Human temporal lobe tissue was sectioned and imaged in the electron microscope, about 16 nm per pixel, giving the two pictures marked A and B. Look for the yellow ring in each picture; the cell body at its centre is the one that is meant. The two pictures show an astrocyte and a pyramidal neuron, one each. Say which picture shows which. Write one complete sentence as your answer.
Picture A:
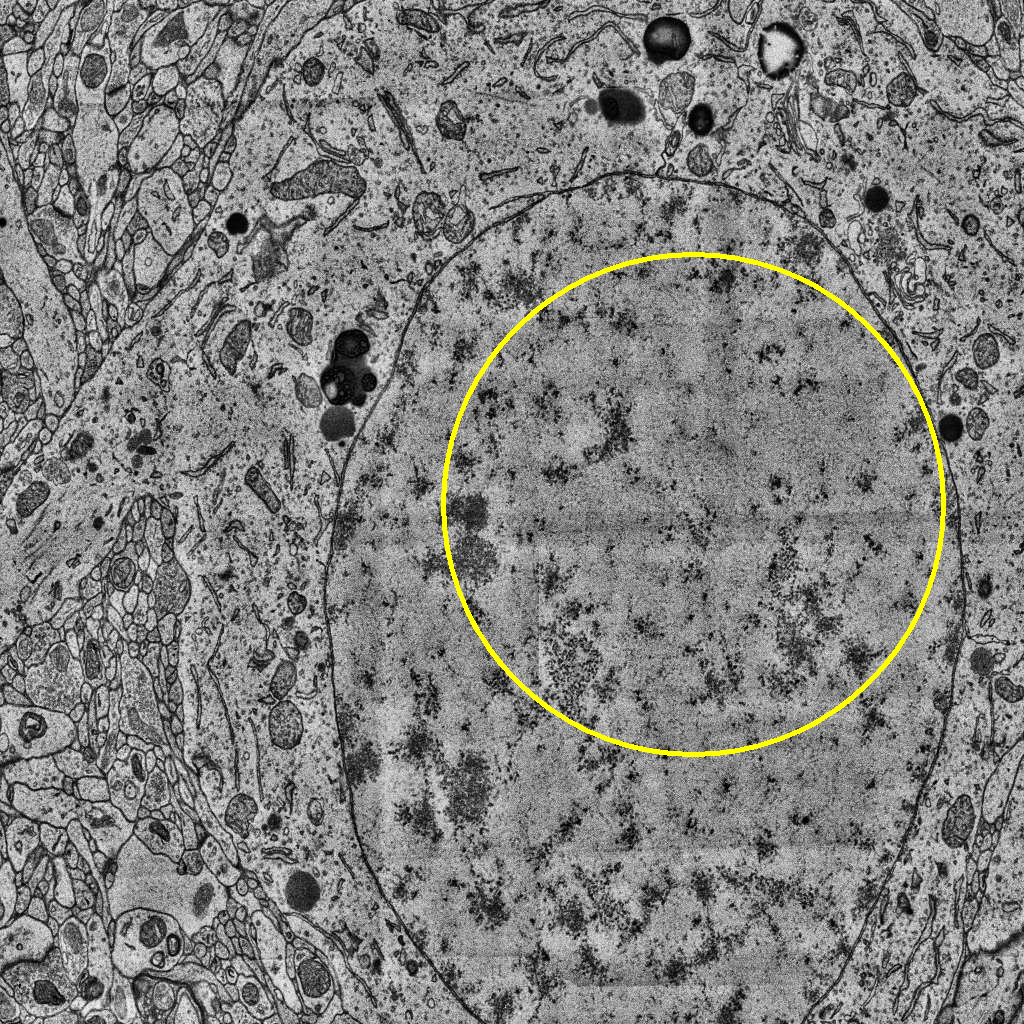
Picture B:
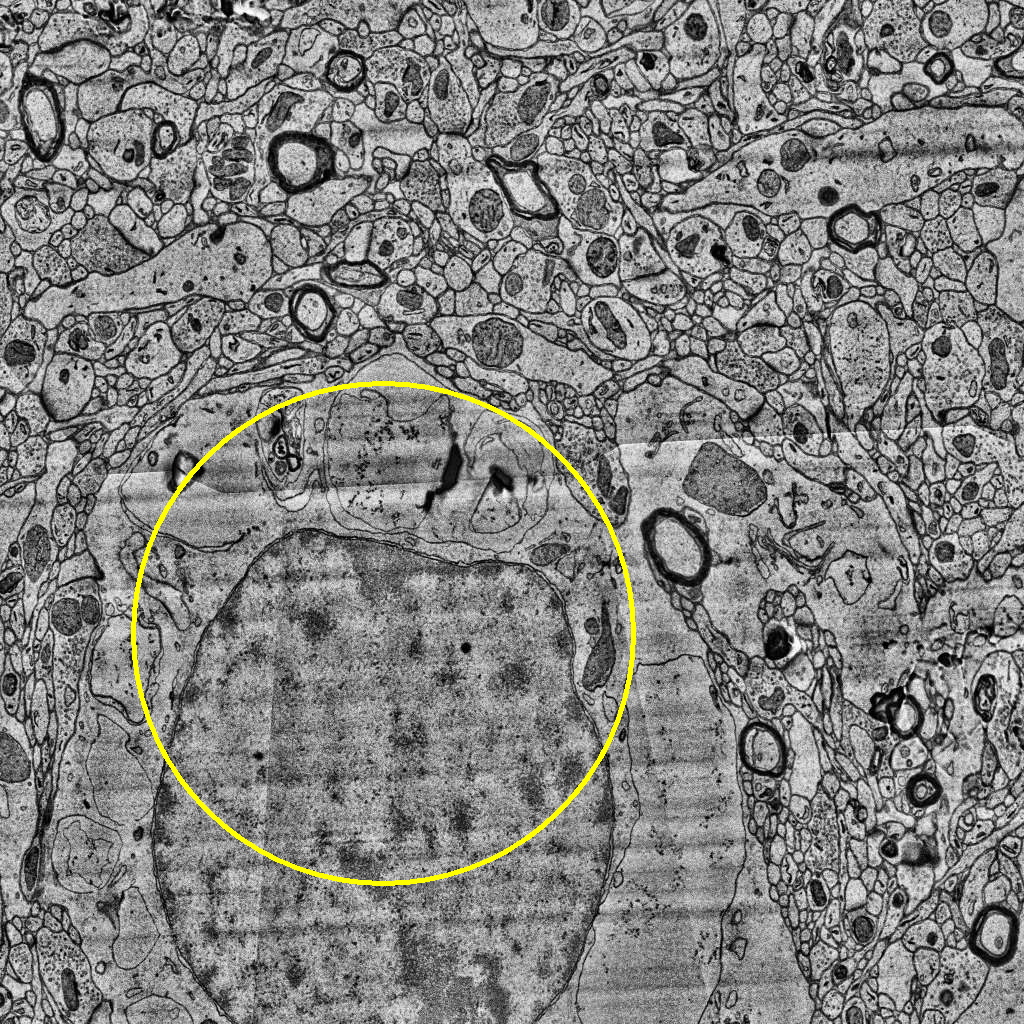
Picture B shows an astrocyte, while picture A shows a pyramidal neuron.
